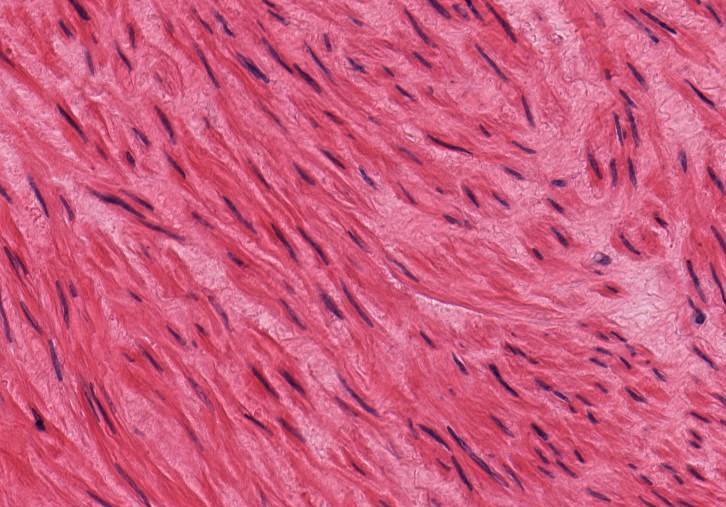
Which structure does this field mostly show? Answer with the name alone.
tunica media of an artery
